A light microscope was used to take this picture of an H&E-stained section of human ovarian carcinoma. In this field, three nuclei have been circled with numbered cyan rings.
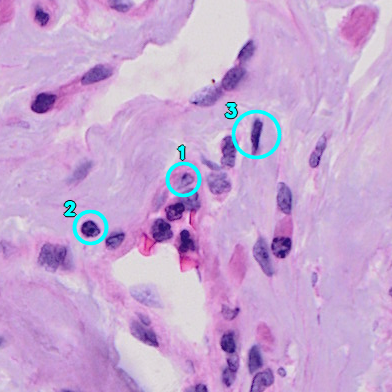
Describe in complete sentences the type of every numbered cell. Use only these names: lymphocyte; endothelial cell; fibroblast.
Cell 1 is an endothelial cell, cell 2 is a lymphocyte and cell 3 is a fibroblast.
